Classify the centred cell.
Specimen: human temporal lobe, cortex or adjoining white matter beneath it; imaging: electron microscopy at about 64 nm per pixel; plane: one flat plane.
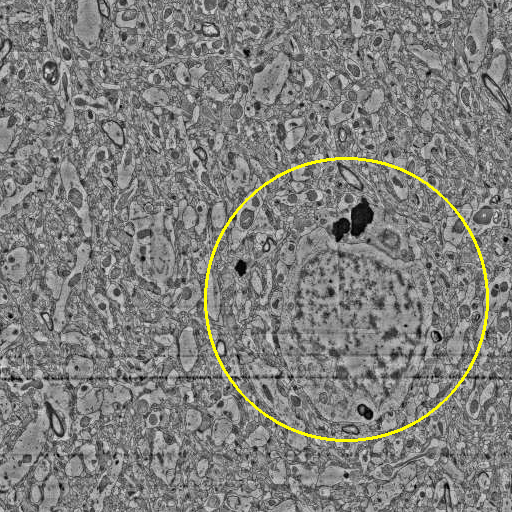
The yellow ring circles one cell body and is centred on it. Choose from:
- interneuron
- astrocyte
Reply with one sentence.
The ring is centred on an interneuron.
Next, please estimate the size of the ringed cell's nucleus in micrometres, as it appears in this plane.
About 9 by 8 micrometres in this plane.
